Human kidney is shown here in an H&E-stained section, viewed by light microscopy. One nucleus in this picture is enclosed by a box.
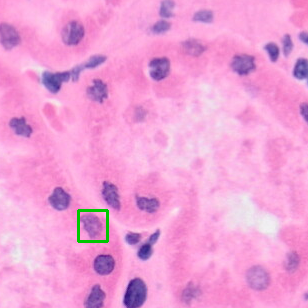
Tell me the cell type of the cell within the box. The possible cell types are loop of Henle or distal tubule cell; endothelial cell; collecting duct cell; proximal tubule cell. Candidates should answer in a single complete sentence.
By cell type, the cell within the box is a proximal tubule cell.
